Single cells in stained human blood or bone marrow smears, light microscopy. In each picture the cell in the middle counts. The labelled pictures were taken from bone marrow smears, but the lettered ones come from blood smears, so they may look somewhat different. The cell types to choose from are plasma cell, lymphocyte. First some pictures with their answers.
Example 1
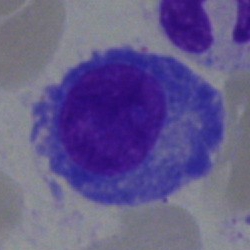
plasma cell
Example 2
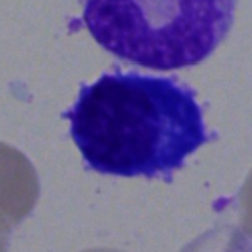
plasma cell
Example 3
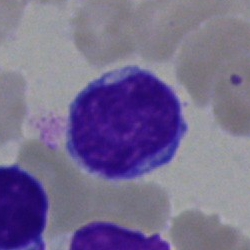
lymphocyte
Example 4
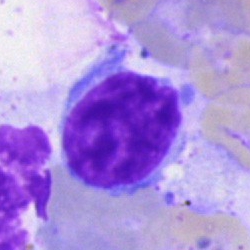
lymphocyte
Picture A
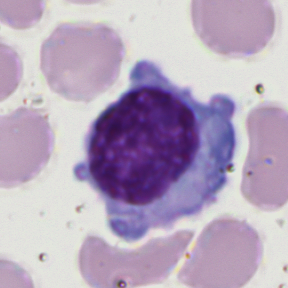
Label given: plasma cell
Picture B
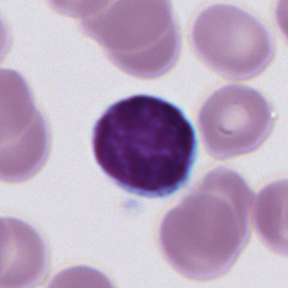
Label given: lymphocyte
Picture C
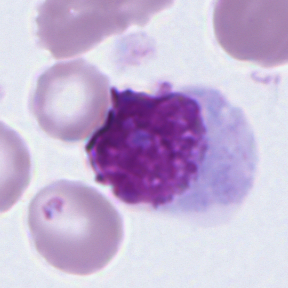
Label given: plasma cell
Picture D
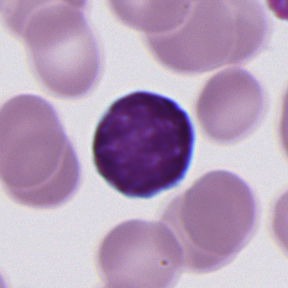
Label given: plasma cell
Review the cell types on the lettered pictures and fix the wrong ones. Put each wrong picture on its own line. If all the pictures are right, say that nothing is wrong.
D is labelled plasma cell; correct label: lymphocyte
